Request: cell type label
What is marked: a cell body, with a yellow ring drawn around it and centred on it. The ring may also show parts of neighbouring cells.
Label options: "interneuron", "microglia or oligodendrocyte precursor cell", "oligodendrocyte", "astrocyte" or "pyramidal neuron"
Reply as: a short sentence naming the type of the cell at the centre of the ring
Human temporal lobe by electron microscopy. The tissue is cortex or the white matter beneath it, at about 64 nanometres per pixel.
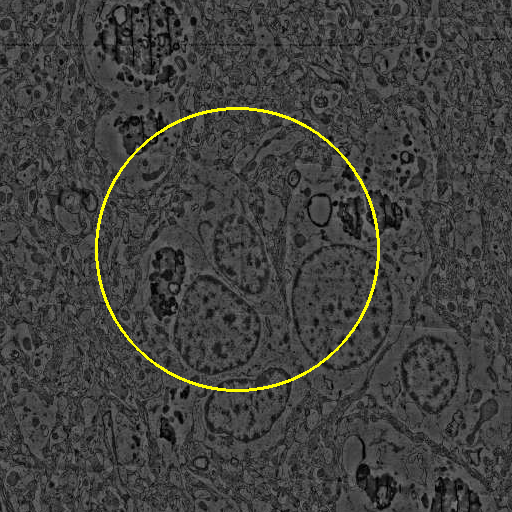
The marked cell body is that of an astrocyte.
